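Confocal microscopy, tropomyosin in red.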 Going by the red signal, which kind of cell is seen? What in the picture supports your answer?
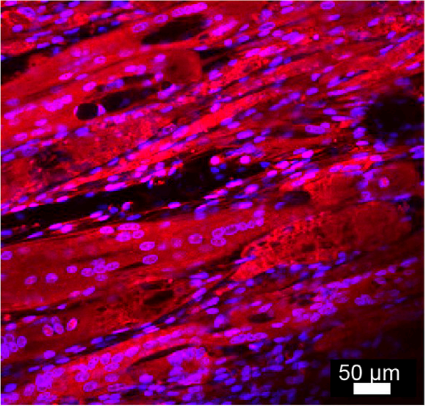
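Broad, elongated red structures run in parallel across the field. Several oval blue nuclei lie within single red structures. The red structures are far longer than any single nucleus-bearing cell.
Myotubes.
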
